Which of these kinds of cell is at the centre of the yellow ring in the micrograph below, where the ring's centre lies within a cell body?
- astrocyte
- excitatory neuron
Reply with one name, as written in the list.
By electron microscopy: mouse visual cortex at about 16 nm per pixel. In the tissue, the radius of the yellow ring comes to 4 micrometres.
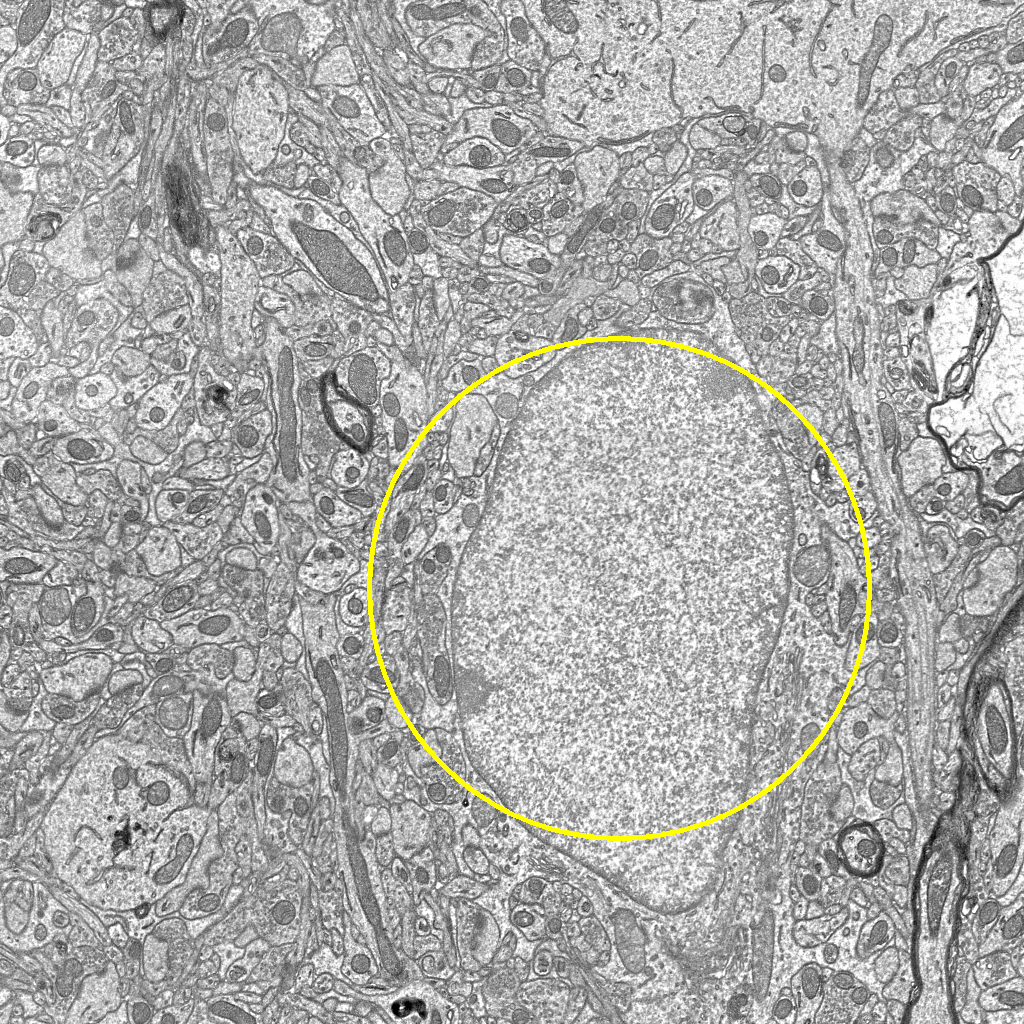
astrocyte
